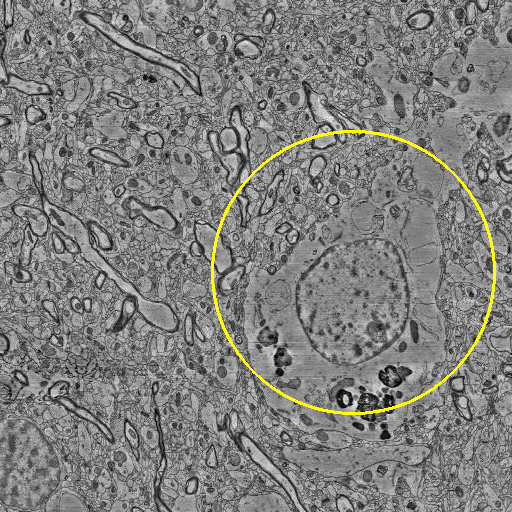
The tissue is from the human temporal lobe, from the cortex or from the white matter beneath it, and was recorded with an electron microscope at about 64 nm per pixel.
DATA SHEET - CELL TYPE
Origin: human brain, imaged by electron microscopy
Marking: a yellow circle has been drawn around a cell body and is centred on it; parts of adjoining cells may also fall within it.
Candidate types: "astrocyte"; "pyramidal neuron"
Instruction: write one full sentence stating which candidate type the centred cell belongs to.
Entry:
The cell body at the centre of the yellow ring in this micrograph belongs to an astrocyte.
